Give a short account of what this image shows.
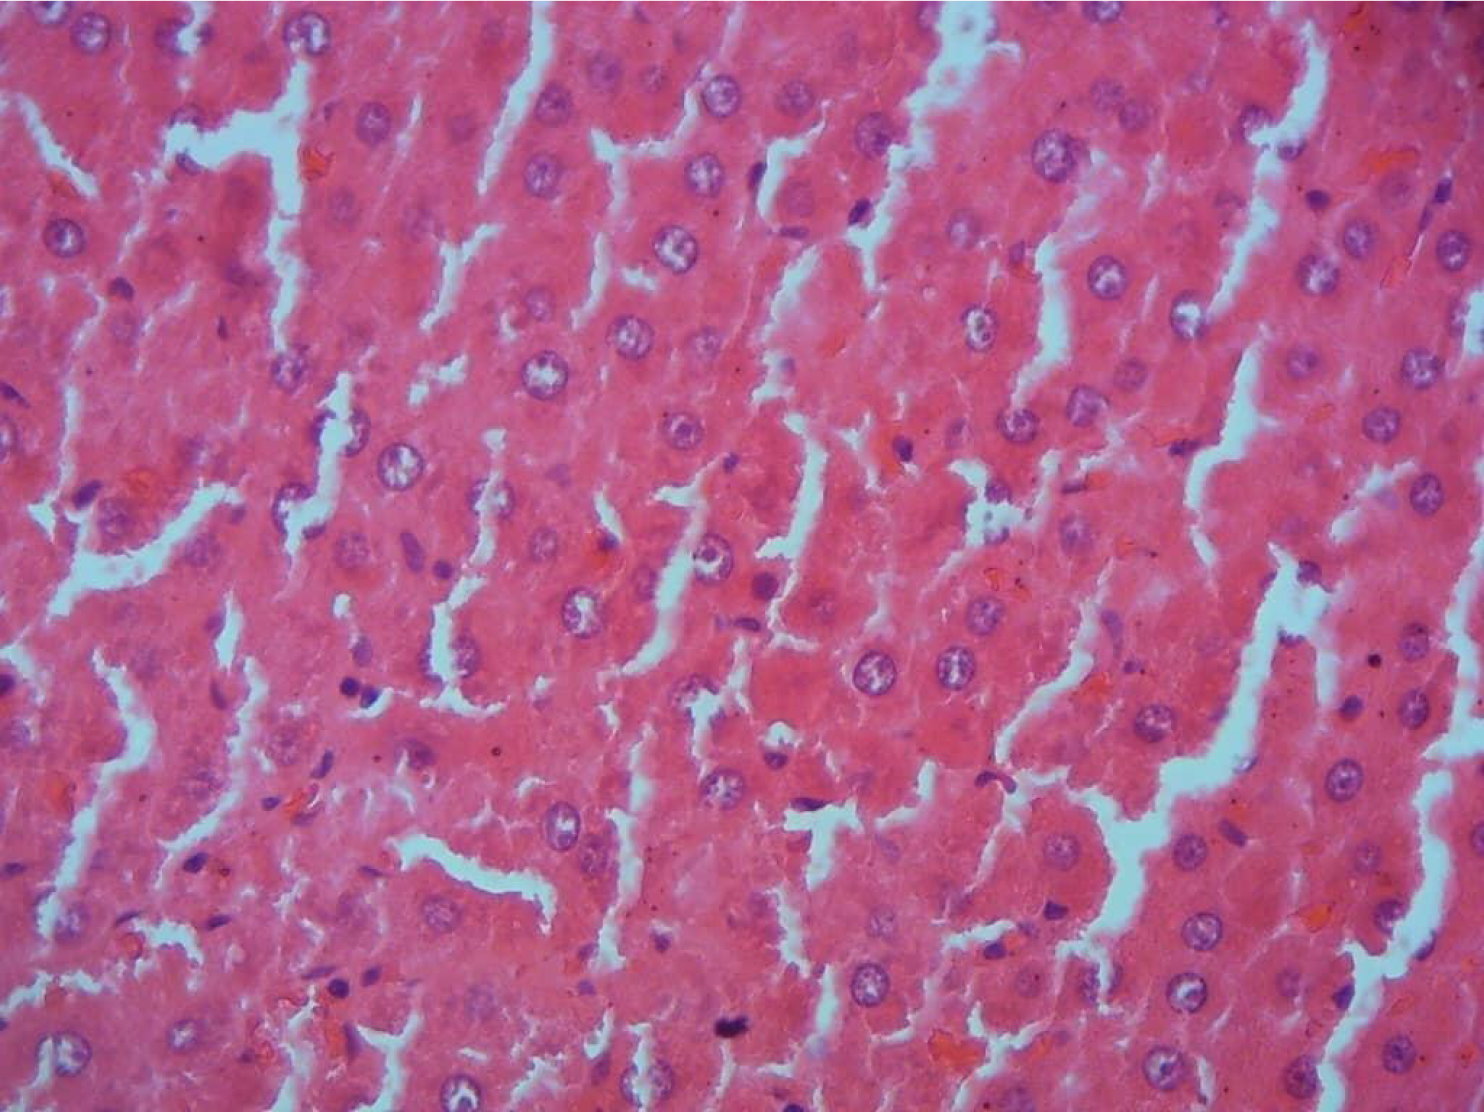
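Liver tissue made of large polygonal hepatocytes with abundant pink granular cytoplasm and round, centrally placed nuclei with clumped chromatin. The hepatocytes lie in cords separated by irregular, widened clear spaces. Small dark, elongated or round nuclei are scattered along these spaces between the cords, and no areas of cell death are seen.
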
